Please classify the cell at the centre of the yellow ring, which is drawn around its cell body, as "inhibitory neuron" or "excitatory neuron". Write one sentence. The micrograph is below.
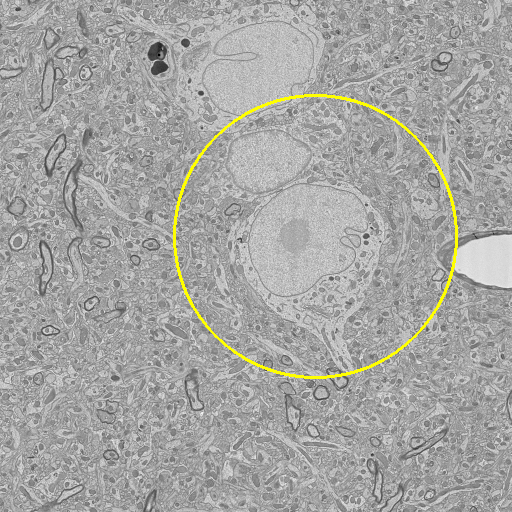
The cell at the ring's centre is classified as an inhibitory neuron.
